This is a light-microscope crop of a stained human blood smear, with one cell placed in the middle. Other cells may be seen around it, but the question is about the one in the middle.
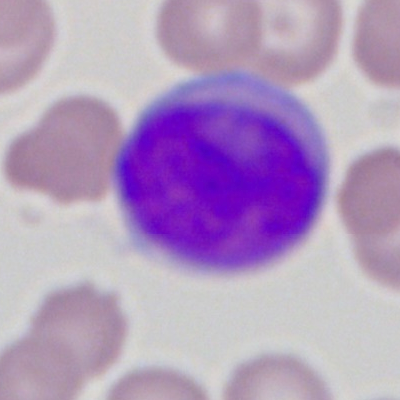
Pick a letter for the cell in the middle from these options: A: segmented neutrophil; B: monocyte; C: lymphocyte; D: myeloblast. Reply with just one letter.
D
